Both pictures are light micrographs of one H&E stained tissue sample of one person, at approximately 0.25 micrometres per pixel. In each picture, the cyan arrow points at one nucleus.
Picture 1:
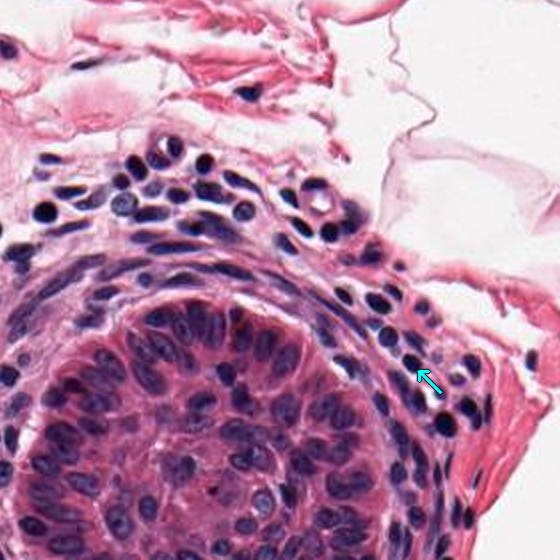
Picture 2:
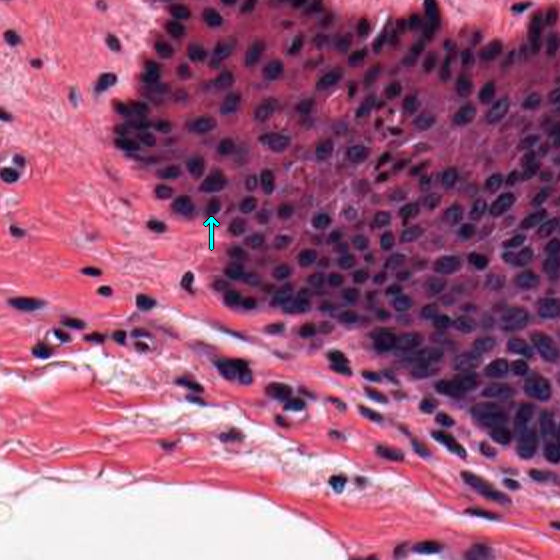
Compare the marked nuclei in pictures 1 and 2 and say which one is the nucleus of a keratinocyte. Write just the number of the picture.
2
